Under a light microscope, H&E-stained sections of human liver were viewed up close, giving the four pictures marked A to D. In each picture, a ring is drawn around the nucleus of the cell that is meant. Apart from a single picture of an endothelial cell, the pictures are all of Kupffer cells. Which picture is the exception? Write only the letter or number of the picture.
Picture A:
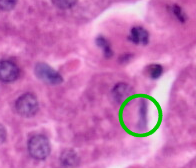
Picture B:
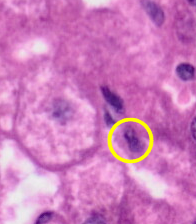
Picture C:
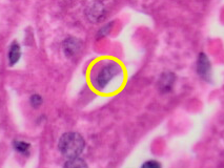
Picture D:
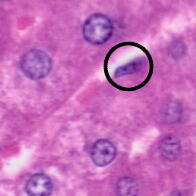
D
